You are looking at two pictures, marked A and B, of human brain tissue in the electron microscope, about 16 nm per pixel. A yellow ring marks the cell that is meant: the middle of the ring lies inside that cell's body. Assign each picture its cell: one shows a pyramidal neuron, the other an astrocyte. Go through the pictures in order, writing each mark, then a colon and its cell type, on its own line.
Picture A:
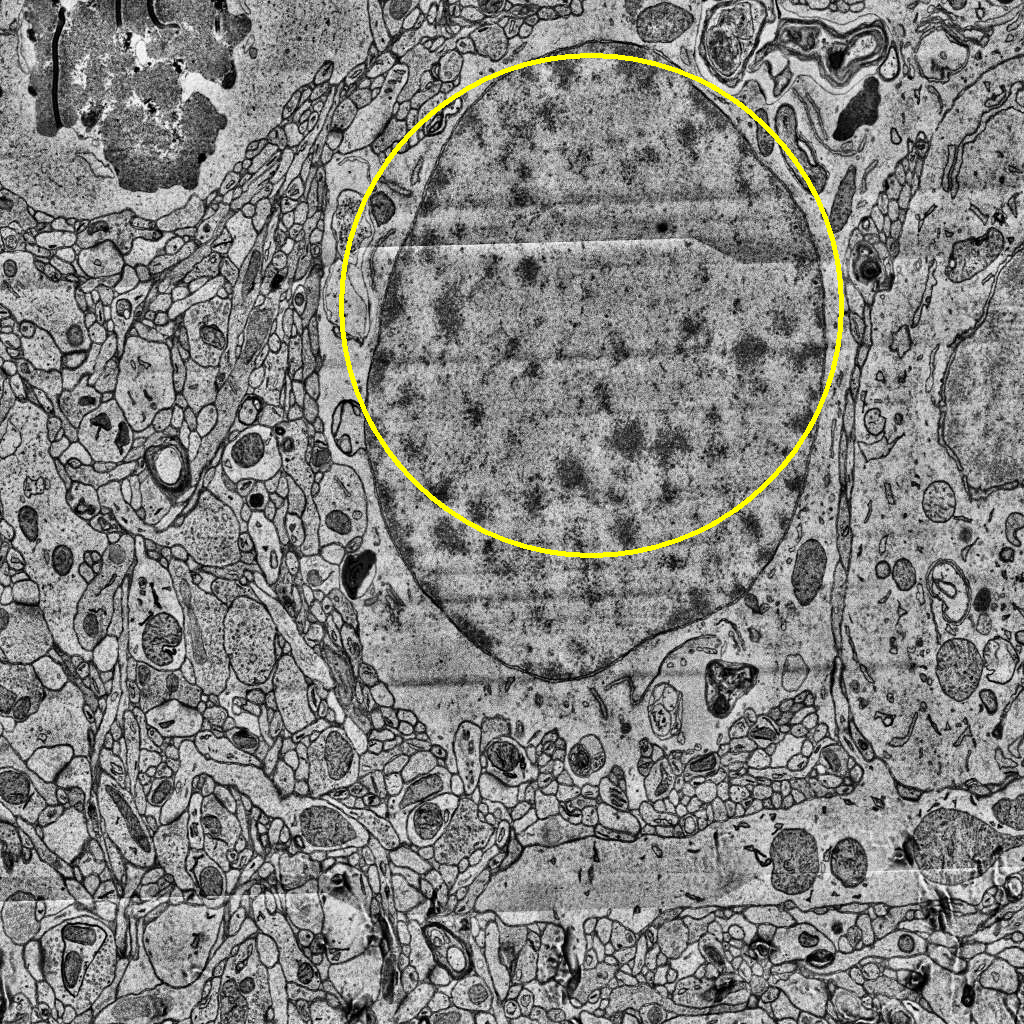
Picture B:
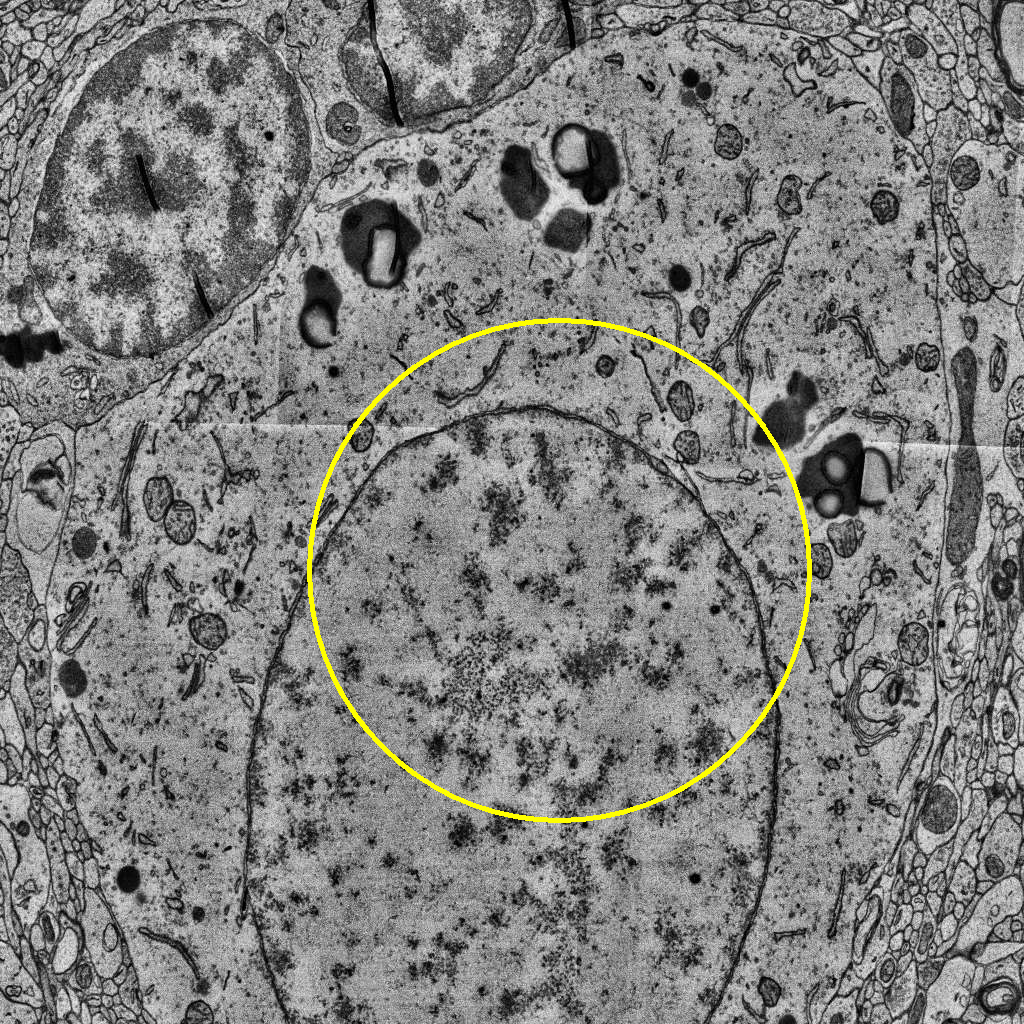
A: astrocyte
B: pyramidal neuron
